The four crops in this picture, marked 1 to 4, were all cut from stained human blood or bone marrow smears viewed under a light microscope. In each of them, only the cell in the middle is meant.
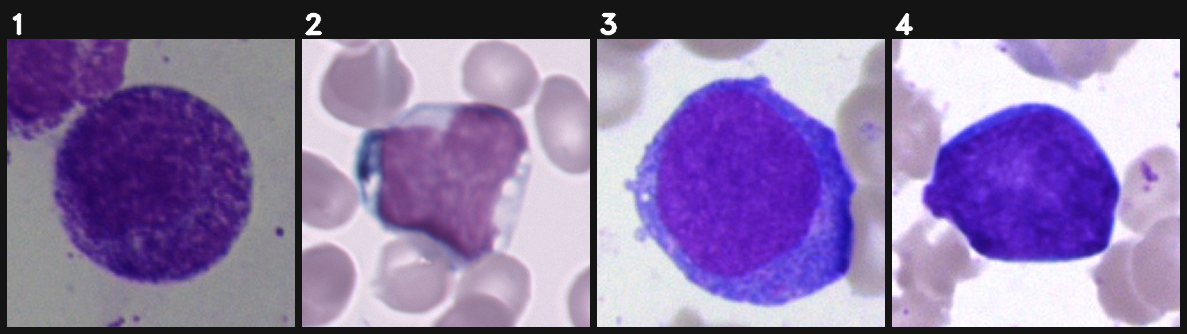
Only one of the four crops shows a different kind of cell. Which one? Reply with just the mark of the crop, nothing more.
1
